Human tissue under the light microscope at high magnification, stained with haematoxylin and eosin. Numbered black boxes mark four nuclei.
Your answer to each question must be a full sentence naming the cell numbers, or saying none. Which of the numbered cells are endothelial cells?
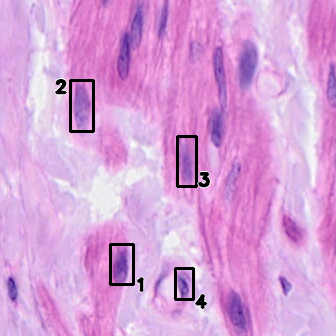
Cell 4 is an endothelial cell; every other numbered cell is something else.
